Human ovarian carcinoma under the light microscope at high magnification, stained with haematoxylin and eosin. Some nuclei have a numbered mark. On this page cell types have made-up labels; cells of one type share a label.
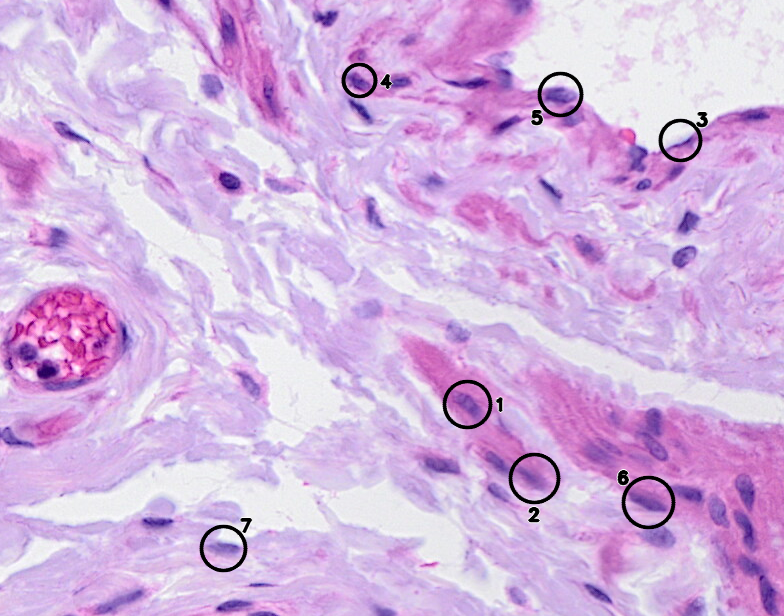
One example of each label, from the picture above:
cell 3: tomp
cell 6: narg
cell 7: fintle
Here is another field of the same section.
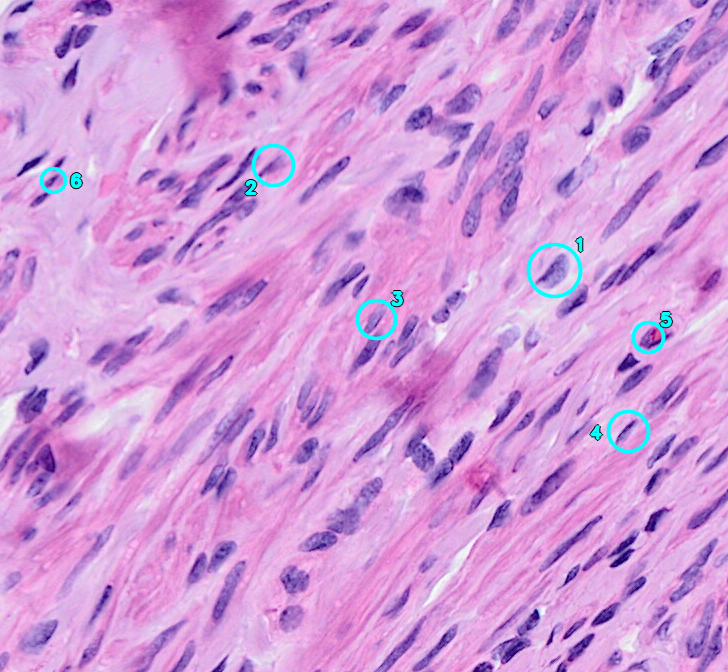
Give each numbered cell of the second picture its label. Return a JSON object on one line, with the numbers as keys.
{"1": "fintle", "2": "narg", "3": "narg", "4": "narg", "5": "tomp", "6": "narg"}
